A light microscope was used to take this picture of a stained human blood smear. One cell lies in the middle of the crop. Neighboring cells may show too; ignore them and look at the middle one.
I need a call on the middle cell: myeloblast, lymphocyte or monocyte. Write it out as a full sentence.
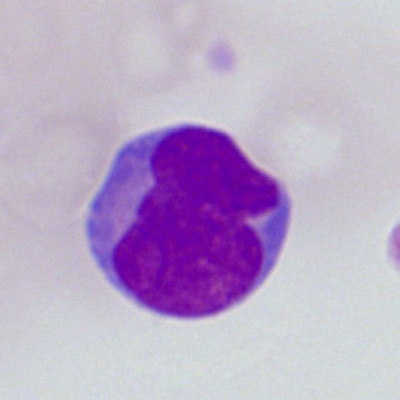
The centrally located cell in the crop is a myeloblast.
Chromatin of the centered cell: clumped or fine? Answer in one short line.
The nuclear chromatin is fine, showing no coarse aggregates.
